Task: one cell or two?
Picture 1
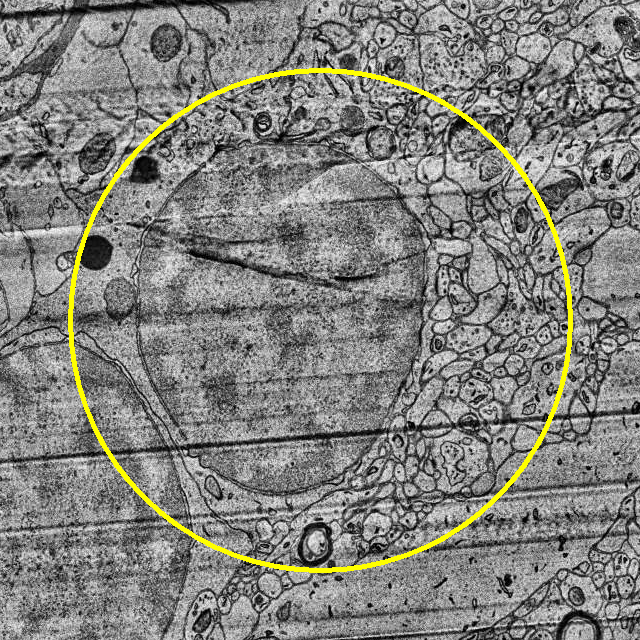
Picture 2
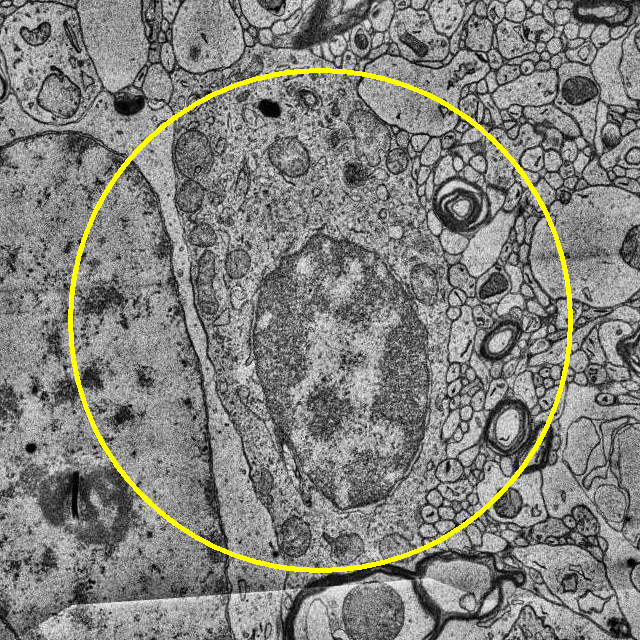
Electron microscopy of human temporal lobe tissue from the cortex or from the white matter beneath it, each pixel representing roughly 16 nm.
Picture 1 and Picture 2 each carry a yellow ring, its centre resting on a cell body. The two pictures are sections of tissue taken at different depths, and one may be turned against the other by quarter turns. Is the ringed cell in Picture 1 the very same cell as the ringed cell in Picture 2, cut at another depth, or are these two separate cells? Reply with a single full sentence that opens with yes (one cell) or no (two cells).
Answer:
No, two distinct cells are each enclosed by a yellow ring.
